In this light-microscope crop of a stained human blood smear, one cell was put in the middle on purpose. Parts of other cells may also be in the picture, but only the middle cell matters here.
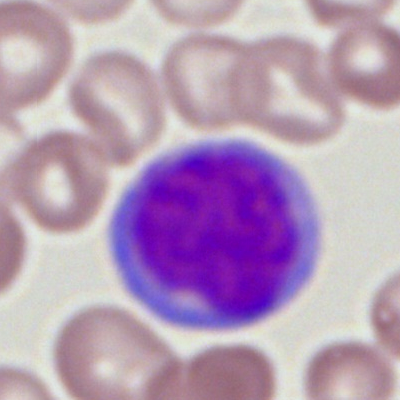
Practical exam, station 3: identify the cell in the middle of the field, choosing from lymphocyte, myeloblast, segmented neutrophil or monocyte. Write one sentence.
This crop's central cell is a monocyte.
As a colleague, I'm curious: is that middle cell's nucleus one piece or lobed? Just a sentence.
The nuclear material is gathered into one compact round, oval or kidney-shaped mass.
